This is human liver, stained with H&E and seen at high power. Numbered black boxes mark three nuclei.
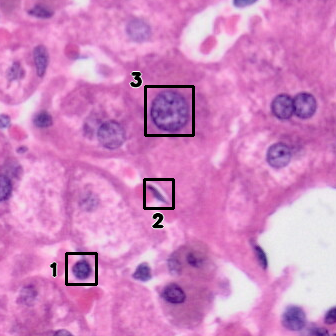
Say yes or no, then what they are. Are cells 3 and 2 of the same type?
No, cell 3 is a hepatocyte and cell 2 is an endothelial cell.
